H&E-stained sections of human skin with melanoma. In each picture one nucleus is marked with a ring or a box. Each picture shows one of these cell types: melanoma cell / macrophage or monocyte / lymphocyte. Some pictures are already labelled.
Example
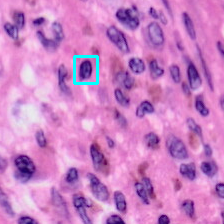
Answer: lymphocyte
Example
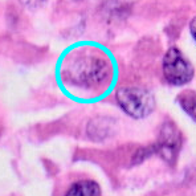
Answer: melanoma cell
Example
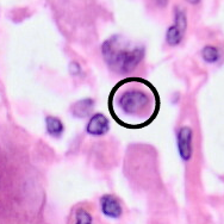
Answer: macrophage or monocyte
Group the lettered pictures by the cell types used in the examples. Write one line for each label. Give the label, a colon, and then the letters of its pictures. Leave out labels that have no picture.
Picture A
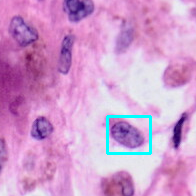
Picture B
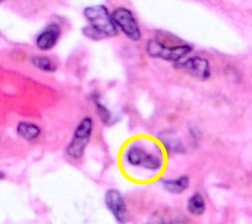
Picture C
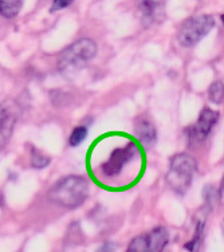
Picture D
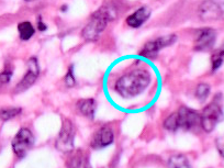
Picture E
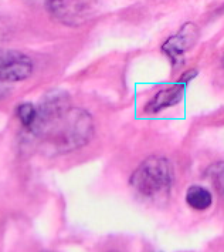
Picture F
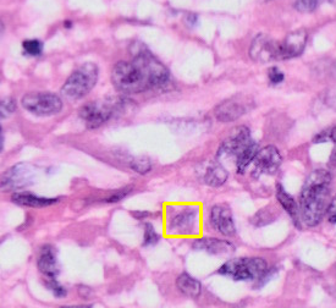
melanoma cell: C, D, F
macrophage or monocyte: A, B, E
